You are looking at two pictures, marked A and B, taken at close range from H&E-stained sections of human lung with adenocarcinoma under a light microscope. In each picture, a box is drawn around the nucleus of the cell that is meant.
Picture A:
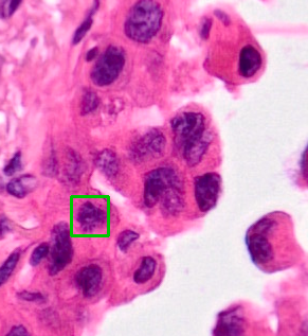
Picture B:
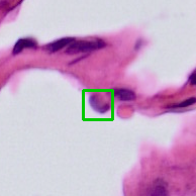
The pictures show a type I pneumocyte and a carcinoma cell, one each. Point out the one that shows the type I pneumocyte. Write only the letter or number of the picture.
B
